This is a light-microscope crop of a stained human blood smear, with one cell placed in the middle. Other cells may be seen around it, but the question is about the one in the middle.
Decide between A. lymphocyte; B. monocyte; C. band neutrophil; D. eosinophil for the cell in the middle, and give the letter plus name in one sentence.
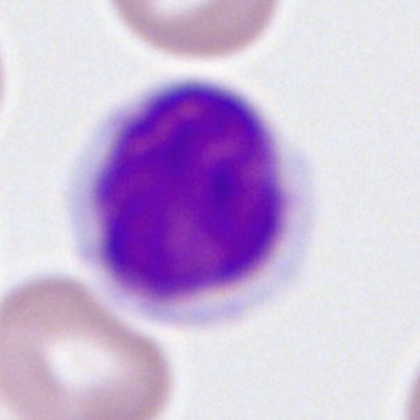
Option A gets it right: the cell in the middle is a lymphocyte.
